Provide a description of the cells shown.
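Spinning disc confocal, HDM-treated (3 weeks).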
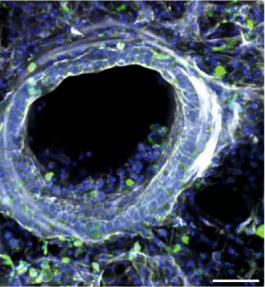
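Here an airway is cut across, showing a round dark lumen in the middle. Its lining is a thick ring of epithelial cells, their blue nuclei packed tightly together. Around this ring runs a continuous circular band of white fibres forming the airway wall. In the tissue outside the wall, and some within it, lie small rounded cells labelled bright green, scattered singly among many blue nuclei.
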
